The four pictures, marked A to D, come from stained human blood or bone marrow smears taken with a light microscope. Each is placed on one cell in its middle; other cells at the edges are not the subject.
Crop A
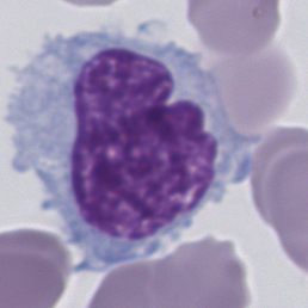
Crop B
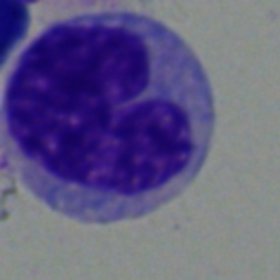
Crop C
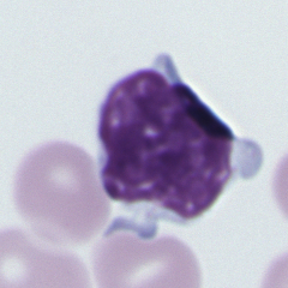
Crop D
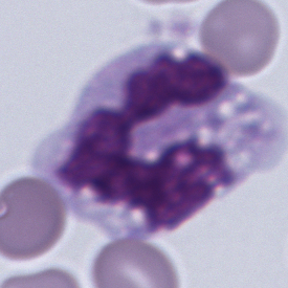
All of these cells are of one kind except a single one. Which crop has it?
C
